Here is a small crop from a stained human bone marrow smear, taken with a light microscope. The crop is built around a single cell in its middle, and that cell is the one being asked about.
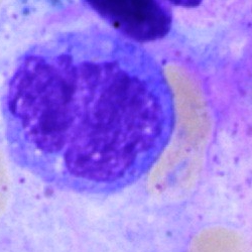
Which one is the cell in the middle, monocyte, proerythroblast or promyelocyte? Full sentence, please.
The cell in the exact centre of the crop is a monocyte.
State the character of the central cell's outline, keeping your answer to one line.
Expected answer: a smooth cell outline without projections of any sort.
